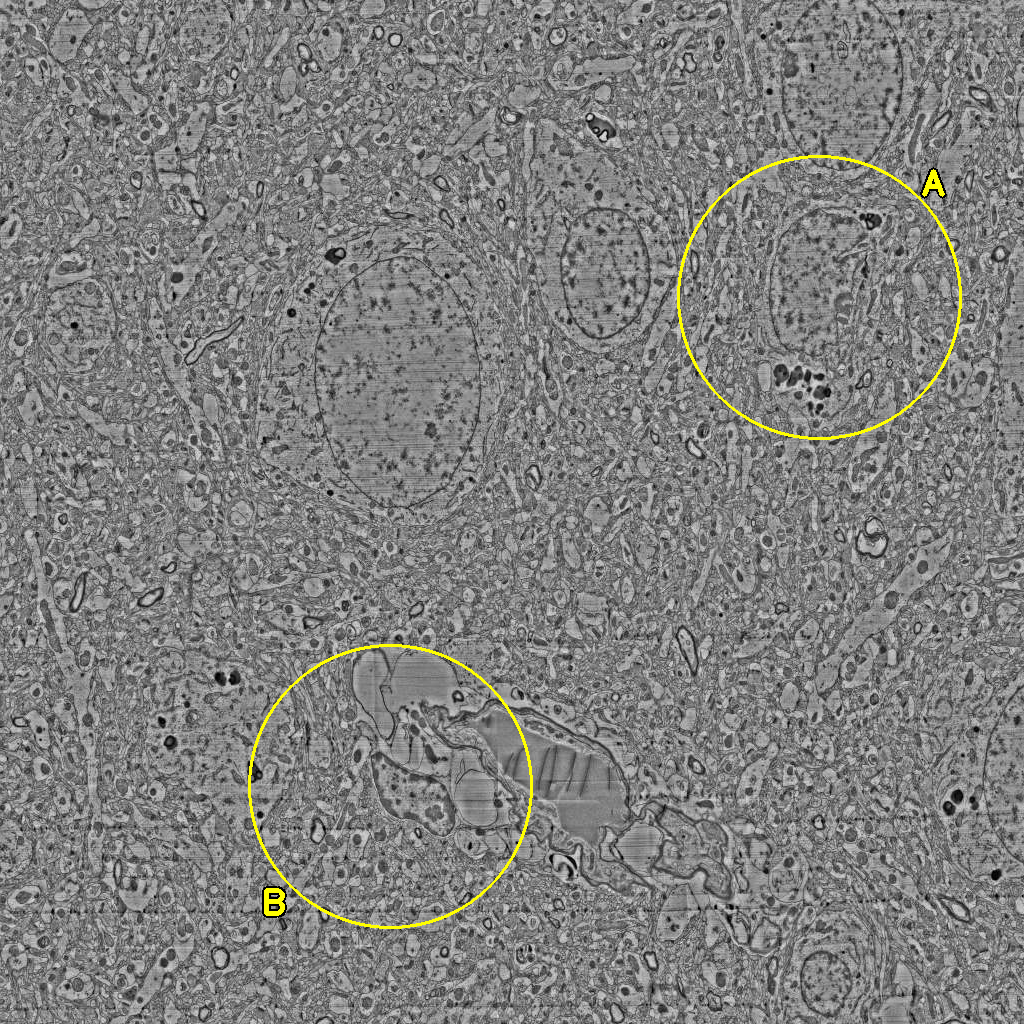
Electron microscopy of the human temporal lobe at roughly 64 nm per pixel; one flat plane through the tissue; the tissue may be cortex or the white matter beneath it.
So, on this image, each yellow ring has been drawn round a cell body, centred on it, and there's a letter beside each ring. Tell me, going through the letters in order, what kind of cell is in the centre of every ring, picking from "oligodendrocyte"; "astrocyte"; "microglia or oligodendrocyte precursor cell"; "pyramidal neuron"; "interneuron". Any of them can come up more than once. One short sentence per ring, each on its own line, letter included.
Ring A has been drawn round an interneuron.
Ring B has been drawn round a microglial cell or oligodendrocyte precursor cell.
